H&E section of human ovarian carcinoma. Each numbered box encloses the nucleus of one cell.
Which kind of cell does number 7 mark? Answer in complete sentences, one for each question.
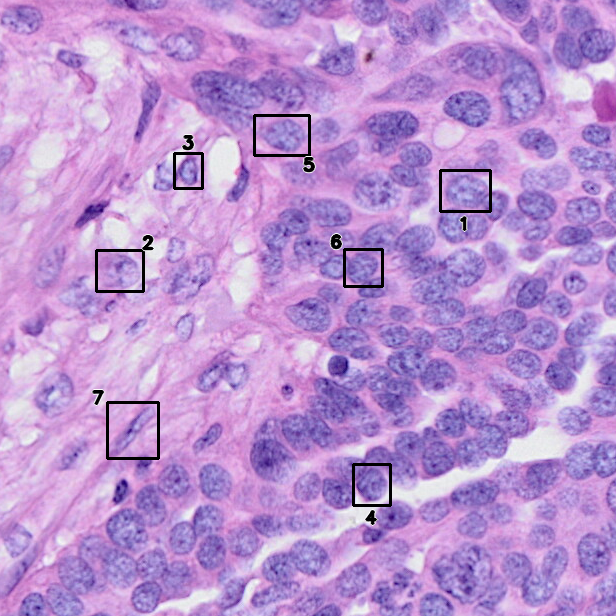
The cell indicated with the number 7 is classed as a fibroblast.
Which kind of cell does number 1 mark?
In the marked set, the cell given number 1 is a carcinoma cell.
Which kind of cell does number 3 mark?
The cell to which the number 3 is assigned is a fibroblast.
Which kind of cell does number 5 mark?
The marked cell bearing number 5 is a carcinoma cell.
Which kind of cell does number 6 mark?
The cell given label 6 is a carcinoma cell.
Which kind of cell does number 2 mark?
In this section, number 2 marks a fibroblast.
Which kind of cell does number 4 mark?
Recognised here as a carcinoma cell is the cell numbered 4.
